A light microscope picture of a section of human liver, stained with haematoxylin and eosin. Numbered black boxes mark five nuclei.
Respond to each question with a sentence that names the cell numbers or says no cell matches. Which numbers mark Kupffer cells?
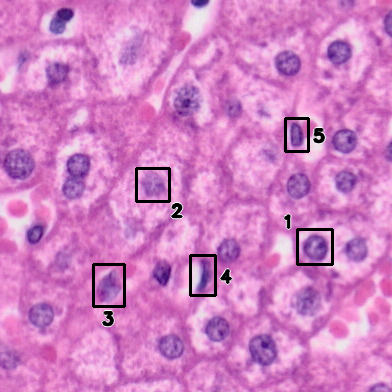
Of those with numbers, only cell 5 is a Kupffer cell.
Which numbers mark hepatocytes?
The cells referred to by the numbers 1 and 2 are hepatocytes.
